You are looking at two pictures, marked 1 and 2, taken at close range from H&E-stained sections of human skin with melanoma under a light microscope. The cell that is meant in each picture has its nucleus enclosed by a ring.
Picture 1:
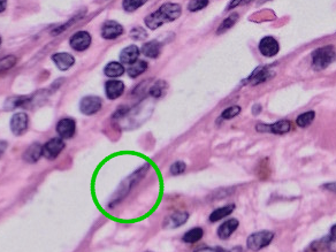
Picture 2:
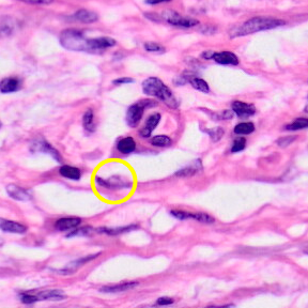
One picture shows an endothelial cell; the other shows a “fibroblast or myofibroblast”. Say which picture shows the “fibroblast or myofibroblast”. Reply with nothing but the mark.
2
